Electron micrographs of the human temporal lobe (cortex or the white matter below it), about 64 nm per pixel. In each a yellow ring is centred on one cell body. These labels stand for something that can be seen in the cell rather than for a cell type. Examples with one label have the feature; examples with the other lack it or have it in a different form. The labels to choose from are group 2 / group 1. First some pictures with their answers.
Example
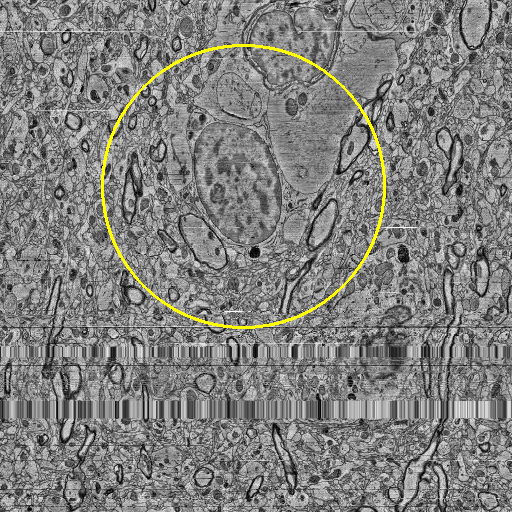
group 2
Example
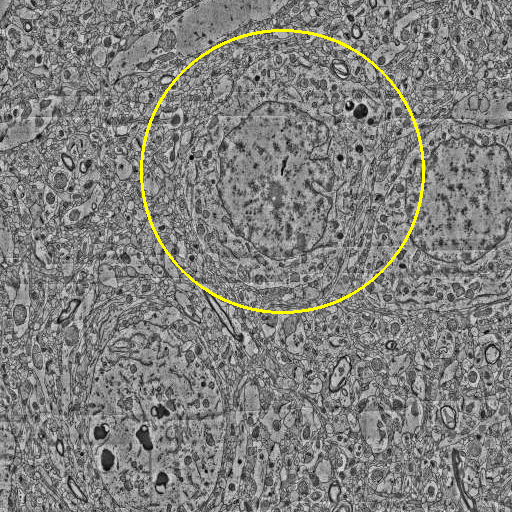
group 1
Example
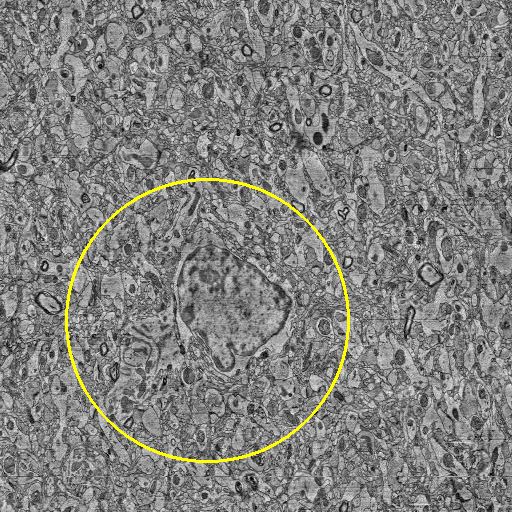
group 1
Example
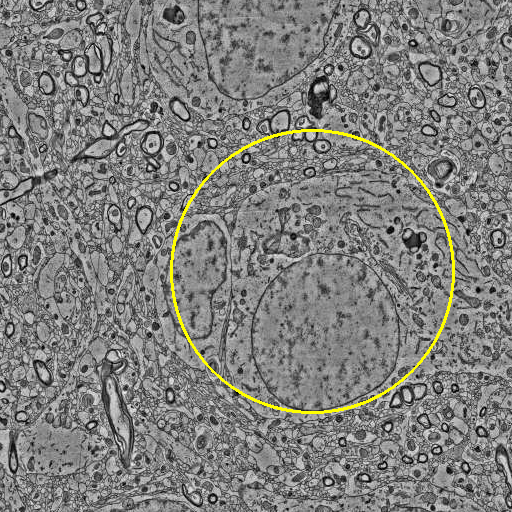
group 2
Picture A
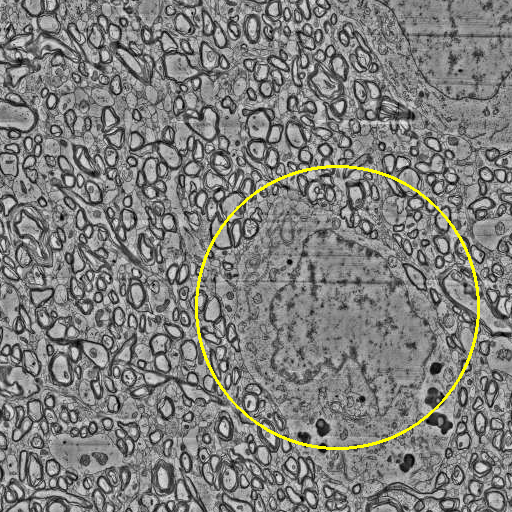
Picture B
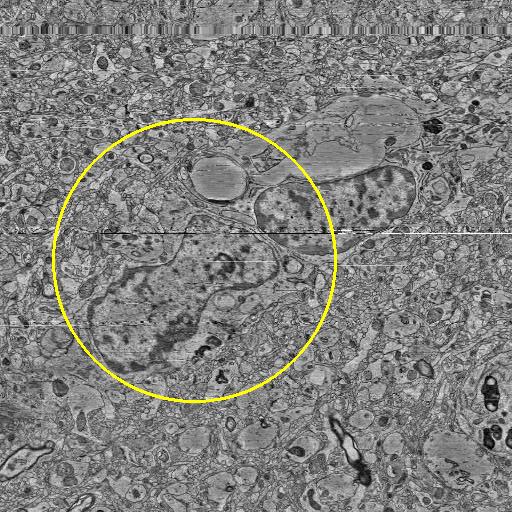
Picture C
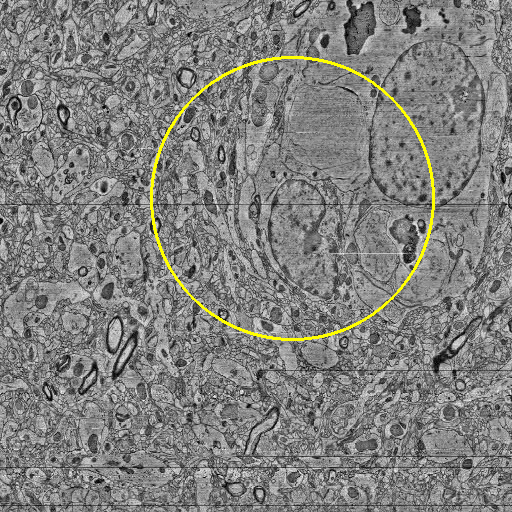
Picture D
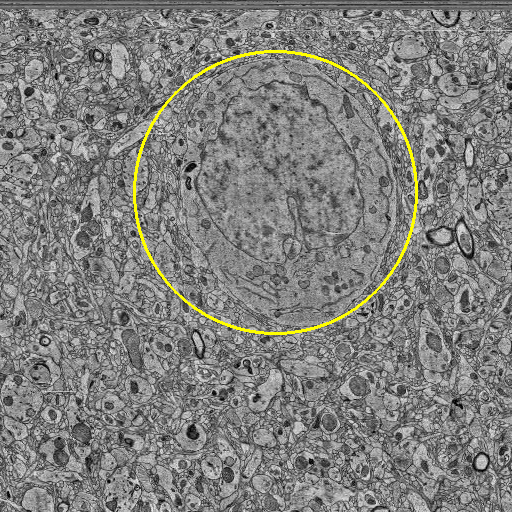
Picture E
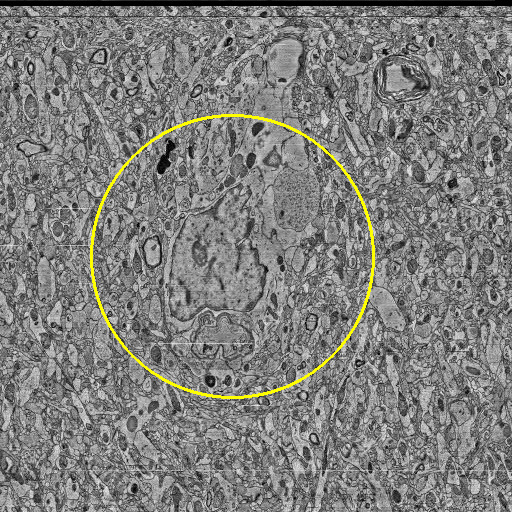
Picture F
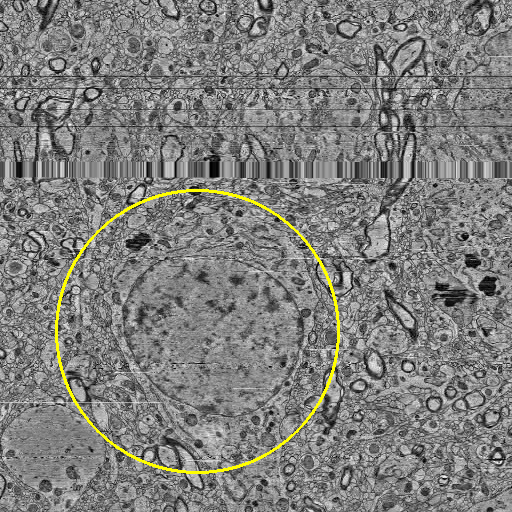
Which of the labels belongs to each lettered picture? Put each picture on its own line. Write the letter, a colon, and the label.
A: group 1
B: group 1
C: group 1
D: group 1
E: group 1
F: group 2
